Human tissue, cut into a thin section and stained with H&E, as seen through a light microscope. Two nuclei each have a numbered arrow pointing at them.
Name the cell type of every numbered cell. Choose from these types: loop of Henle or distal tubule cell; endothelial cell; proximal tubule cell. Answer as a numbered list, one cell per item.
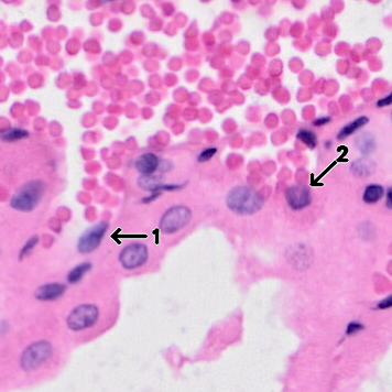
1. endothelial cell
2. proximal tubule cell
